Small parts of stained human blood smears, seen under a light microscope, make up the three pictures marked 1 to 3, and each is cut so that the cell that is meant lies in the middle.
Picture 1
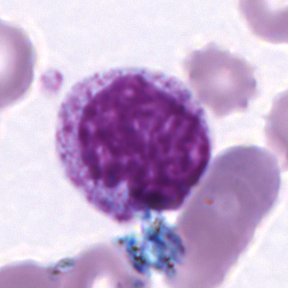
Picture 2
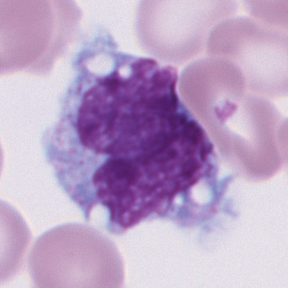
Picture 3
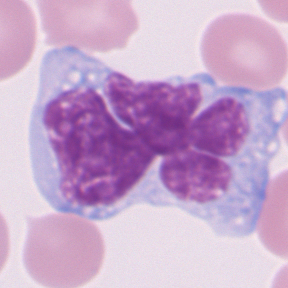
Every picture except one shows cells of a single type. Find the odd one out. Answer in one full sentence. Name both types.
Unlike the rest, which show monocytes, picture 1 shows a metamyelocyte.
